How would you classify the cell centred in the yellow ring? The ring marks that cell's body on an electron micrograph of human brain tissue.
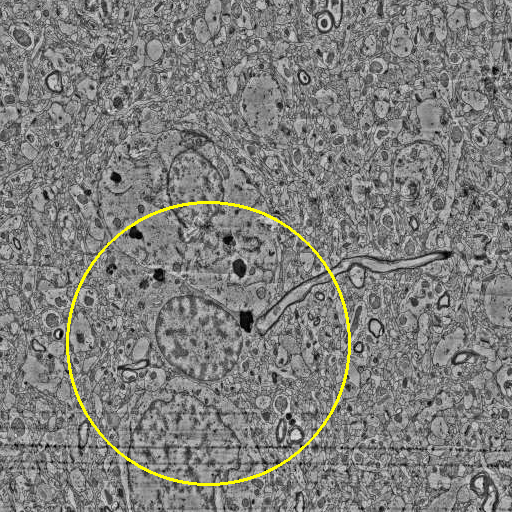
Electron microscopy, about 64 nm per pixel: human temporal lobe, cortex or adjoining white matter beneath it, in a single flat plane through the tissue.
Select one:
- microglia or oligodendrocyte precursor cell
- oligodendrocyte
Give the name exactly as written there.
oligodendrocyte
